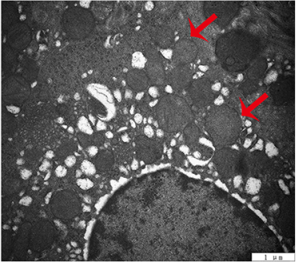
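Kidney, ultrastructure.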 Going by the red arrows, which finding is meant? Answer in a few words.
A: Mitochondria appeared swelling, vacuolization and loss of cristae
